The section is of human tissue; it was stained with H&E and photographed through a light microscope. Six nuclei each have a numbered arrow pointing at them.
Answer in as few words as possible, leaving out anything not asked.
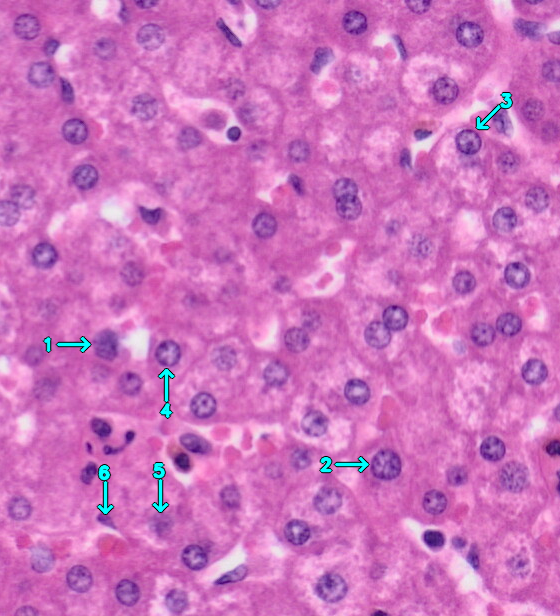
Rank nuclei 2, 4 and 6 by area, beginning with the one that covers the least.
6, 4, 2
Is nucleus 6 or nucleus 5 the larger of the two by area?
5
